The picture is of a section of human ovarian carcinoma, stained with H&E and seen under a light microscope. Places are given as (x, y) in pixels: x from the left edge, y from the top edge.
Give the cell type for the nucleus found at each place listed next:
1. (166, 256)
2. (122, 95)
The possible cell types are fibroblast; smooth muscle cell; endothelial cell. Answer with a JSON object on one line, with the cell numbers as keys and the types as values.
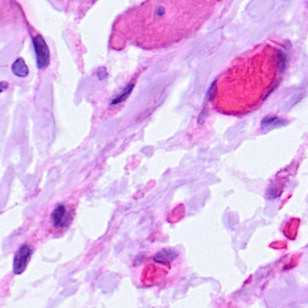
{"1": "endothelial cell", "2": "fibroblast"}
